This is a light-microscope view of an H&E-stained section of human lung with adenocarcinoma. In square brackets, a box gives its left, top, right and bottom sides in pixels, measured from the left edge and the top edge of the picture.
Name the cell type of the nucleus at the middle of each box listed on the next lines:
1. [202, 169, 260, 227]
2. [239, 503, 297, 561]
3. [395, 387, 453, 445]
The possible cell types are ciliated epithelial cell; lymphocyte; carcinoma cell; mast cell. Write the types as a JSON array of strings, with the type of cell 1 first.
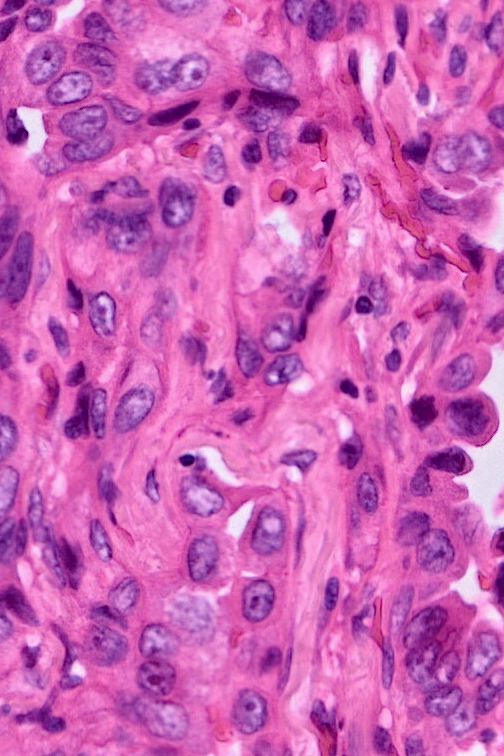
["lymphocyte", "carcinoma cell", "carcinoma cell"]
